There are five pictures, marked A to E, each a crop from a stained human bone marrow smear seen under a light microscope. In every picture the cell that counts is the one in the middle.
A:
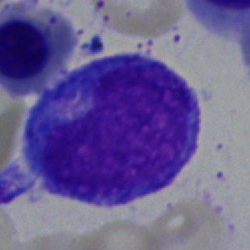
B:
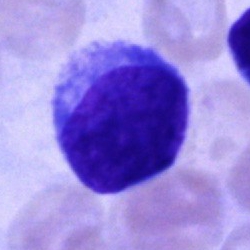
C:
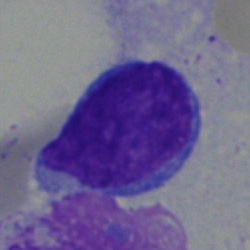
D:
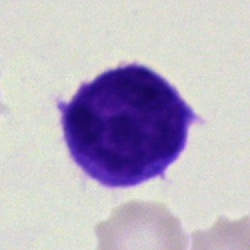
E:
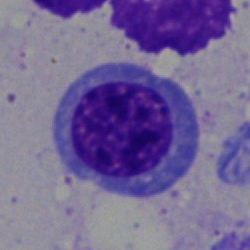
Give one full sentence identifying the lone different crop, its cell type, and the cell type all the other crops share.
Crop E breaks the pattern as an erythroblast; the other crops all contain blasts.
